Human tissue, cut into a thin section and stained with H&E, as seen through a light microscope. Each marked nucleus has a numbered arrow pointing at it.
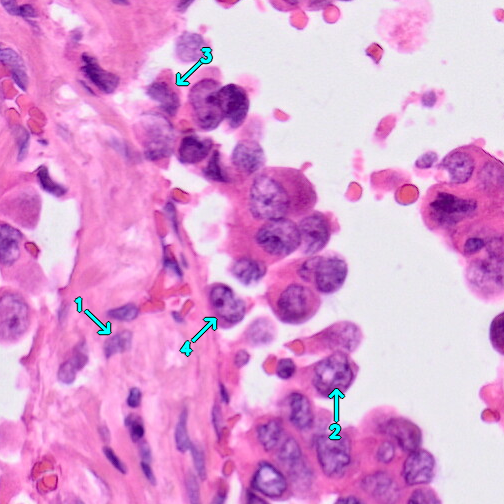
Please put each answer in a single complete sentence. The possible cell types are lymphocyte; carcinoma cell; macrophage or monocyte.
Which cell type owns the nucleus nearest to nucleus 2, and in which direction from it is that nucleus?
The nearest nucleus is that of a carcinoma cell and lies above nucleus 2.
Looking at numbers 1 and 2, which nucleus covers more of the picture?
Nucleus 2 is the larger one, covering about 2 times the area of nucleus 1.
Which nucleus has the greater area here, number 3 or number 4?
Of the two, number 4 is bigger and takes up about 1.5 times the area of number 3.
